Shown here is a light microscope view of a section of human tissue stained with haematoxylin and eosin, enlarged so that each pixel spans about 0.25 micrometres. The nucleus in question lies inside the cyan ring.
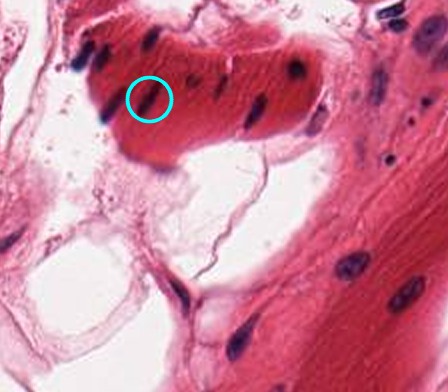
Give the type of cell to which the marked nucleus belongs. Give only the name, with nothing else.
skeletal muscle fibre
